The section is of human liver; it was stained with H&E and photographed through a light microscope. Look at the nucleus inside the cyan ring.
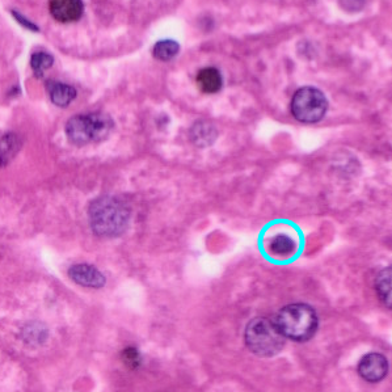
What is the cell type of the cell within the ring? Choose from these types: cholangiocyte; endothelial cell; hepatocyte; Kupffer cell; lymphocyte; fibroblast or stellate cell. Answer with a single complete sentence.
This is a lymphocyte.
